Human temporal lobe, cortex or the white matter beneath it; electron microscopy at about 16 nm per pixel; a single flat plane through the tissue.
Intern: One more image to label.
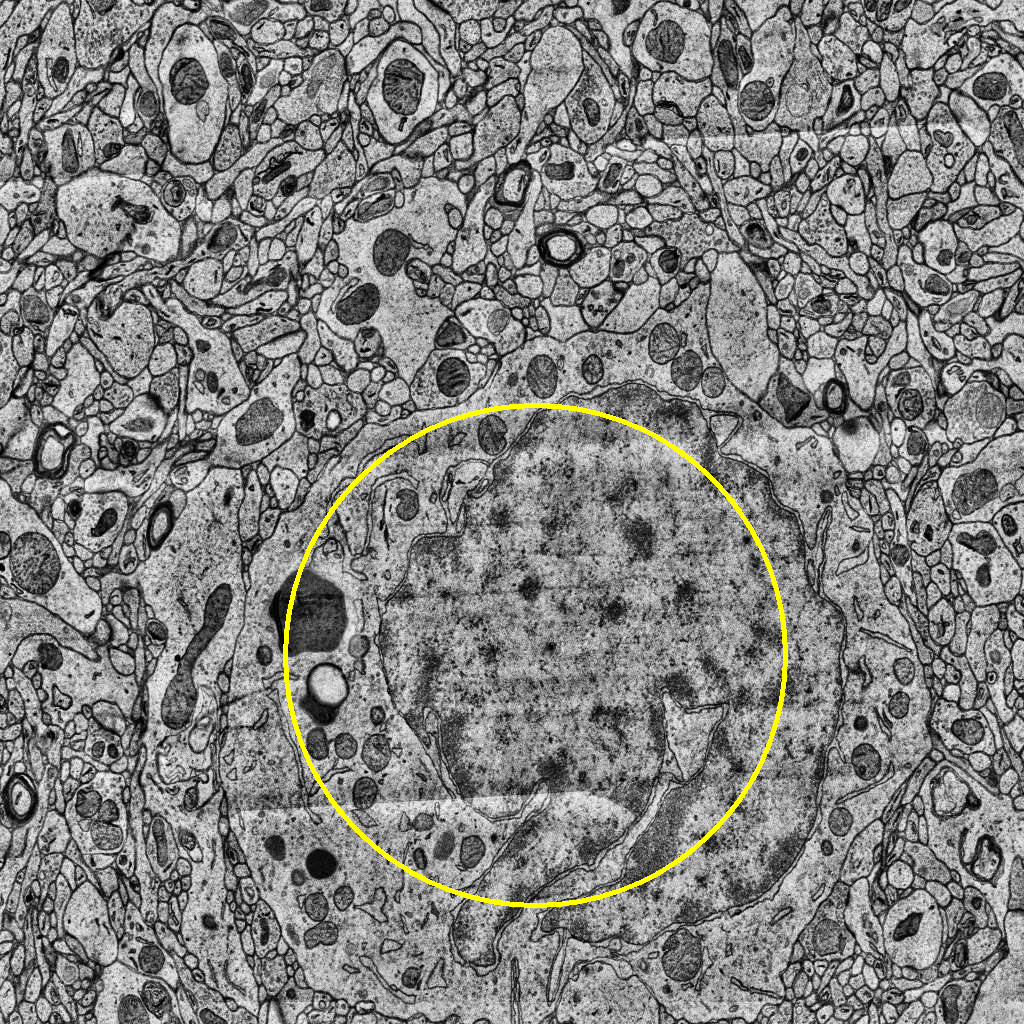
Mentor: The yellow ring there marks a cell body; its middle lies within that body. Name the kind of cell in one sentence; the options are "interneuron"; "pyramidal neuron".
The ring marks the cell body of an interneuron.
